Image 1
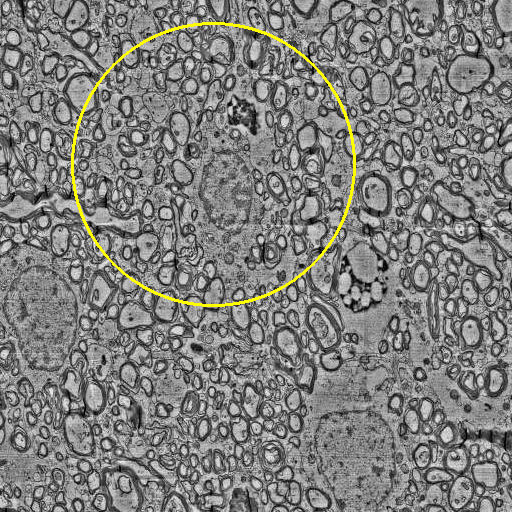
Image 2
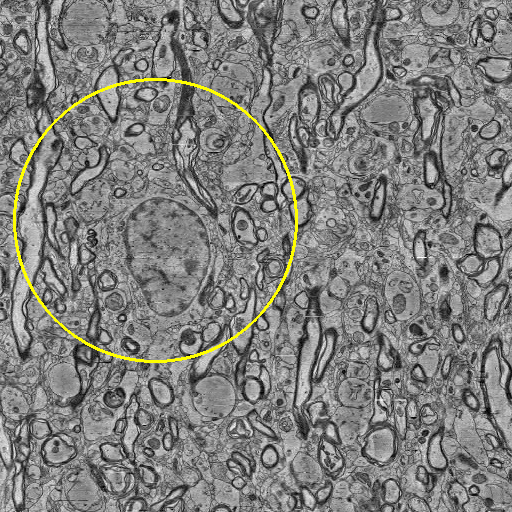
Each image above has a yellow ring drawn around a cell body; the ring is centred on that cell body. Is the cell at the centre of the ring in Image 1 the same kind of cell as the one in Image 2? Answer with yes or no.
no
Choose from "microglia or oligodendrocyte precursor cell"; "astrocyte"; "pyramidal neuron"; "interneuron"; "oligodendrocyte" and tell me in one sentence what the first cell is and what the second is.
What the first ring is centred on is an oligodendrocyte; what the second ring is centred on is a microglial cell or oligodendrocyte precursor cell.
